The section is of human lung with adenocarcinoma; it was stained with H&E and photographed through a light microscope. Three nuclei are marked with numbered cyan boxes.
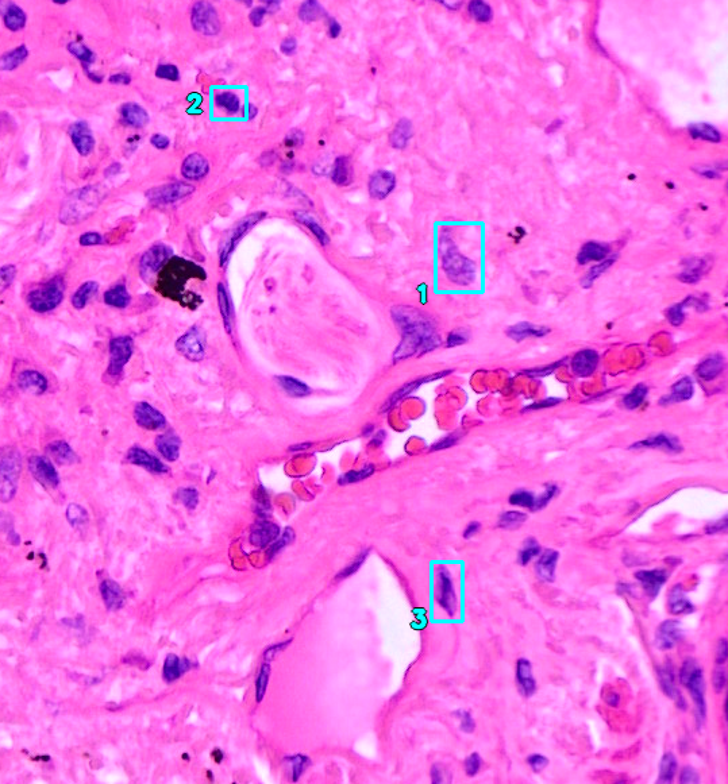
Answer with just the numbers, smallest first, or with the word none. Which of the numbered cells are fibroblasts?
1, 3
